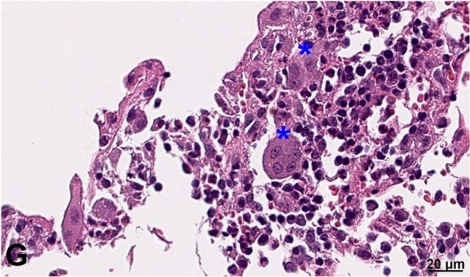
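Scattered among them are much larger cells with broad pink-purple cytoplasm, each holding several nuclei gathered together. Their nuclei are paler and more oval than those of the small cells around them. At the left the tissue edge is ragged, with a few elongated cells lying free beside it.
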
